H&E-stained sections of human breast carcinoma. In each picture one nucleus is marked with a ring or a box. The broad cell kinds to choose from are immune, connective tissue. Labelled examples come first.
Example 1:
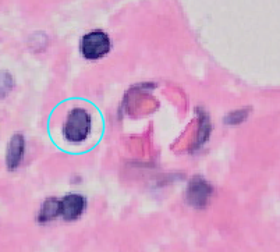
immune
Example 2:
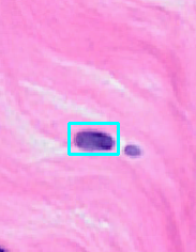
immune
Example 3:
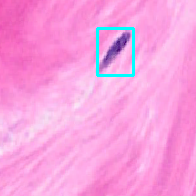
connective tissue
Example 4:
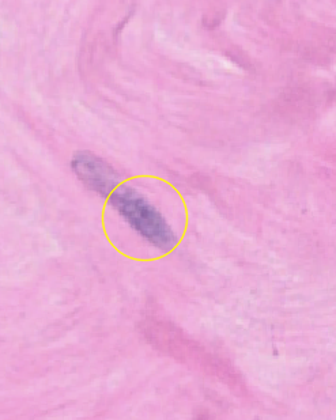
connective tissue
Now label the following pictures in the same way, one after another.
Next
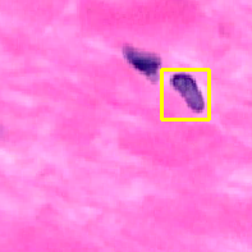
immune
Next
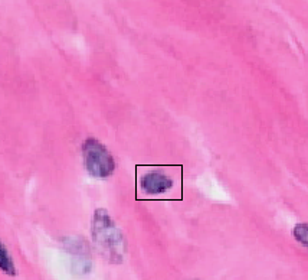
immune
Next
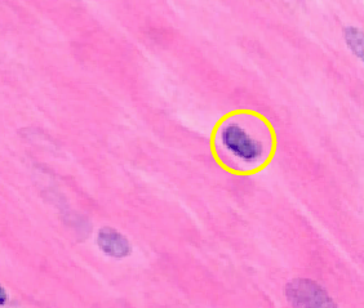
immune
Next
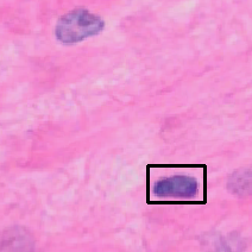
immune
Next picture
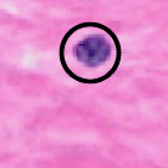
immune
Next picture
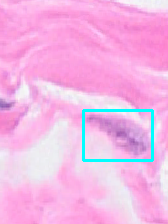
connective tissue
